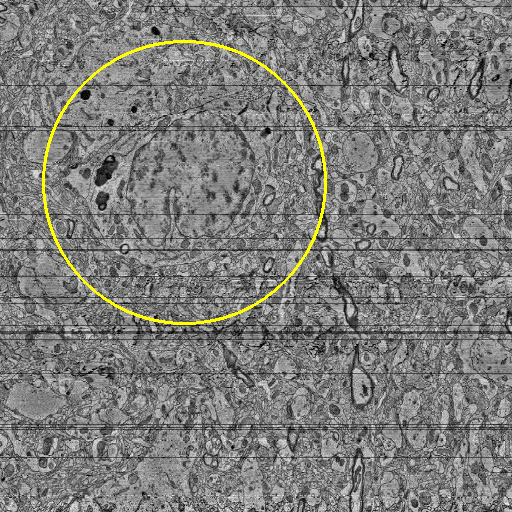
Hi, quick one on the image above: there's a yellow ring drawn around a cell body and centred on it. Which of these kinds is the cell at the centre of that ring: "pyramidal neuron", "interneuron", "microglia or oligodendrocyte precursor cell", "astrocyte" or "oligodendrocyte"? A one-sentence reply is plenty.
The cell at the centre of the ring is an interneuron.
